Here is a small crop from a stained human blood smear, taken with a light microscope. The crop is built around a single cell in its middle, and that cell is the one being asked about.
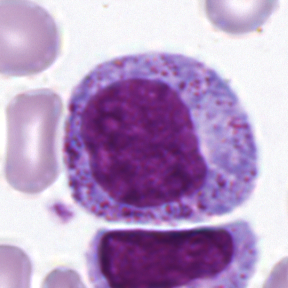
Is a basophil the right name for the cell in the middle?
no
